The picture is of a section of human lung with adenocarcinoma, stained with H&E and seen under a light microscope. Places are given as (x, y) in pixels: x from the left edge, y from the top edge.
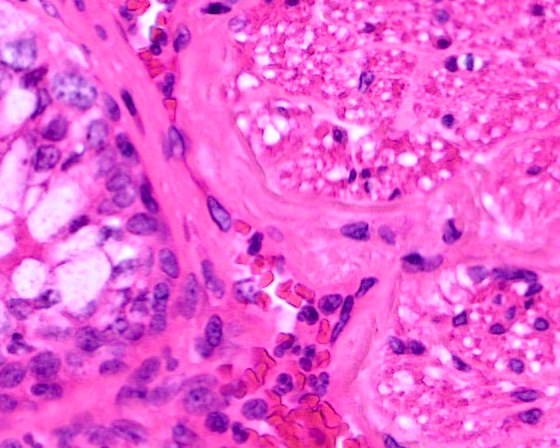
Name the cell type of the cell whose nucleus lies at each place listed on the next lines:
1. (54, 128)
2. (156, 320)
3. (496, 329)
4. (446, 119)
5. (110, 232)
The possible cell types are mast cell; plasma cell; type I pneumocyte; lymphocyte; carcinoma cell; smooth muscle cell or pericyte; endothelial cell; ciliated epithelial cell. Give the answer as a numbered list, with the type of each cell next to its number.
1. ciliated epithelial cell
2. ciliated epithelial cell
3. smooth muscle cell or pericyte
4. smooth muscle cell or pericyte
5. ciliated epithelial cell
